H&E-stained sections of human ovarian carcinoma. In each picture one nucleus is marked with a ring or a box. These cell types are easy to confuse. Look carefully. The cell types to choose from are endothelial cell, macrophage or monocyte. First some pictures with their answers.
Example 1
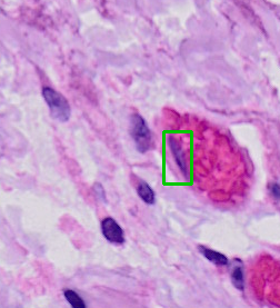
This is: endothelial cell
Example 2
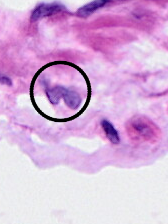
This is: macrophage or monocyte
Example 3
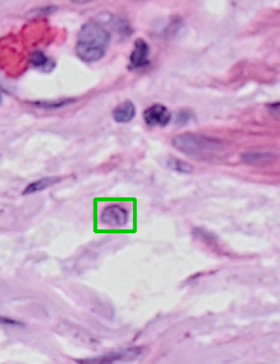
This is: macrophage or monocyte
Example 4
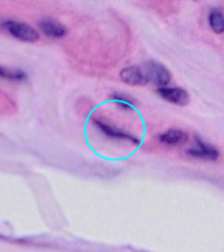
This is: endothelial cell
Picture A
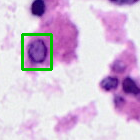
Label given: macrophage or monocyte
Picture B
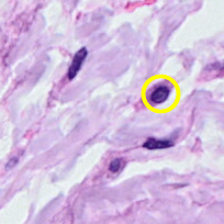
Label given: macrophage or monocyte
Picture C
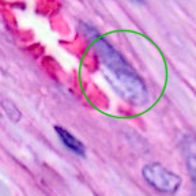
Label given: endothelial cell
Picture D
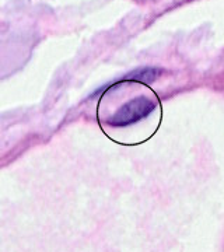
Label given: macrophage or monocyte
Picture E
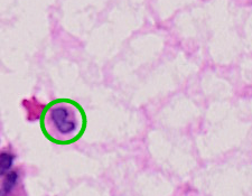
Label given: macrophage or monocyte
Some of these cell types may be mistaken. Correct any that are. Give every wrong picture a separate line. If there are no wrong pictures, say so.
D should be endothelial cell, not macrophage or monocyte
